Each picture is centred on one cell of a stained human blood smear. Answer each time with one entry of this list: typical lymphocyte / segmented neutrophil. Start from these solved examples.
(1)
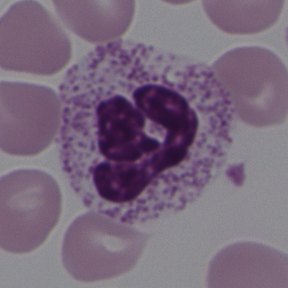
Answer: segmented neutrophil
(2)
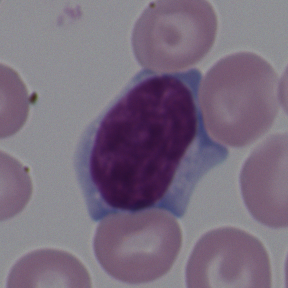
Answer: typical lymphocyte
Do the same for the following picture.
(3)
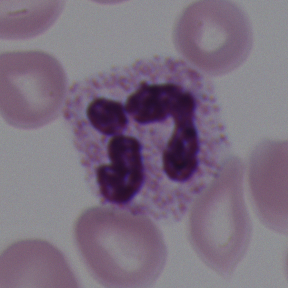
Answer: segmented neutrophil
